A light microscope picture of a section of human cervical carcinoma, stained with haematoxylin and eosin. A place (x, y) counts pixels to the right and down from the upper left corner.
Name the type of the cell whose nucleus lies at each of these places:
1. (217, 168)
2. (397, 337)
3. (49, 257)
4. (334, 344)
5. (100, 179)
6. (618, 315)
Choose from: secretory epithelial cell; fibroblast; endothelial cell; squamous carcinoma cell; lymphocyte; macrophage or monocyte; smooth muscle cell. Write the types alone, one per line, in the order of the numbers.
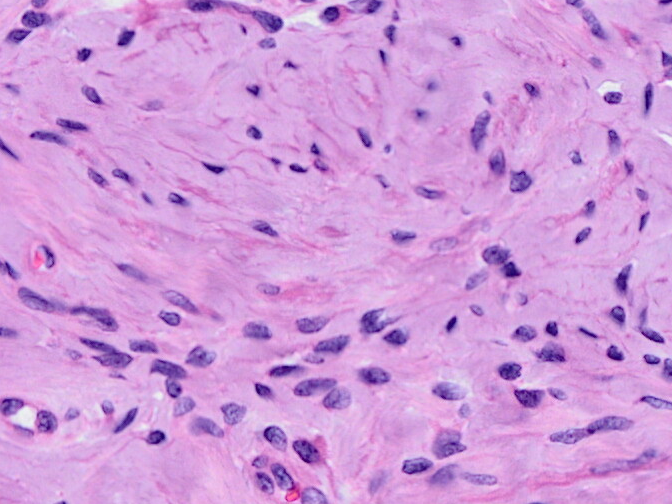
fibroblast
fibroblast
endothelial cell
fibroblast
smooth muscle cell
fibroblast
